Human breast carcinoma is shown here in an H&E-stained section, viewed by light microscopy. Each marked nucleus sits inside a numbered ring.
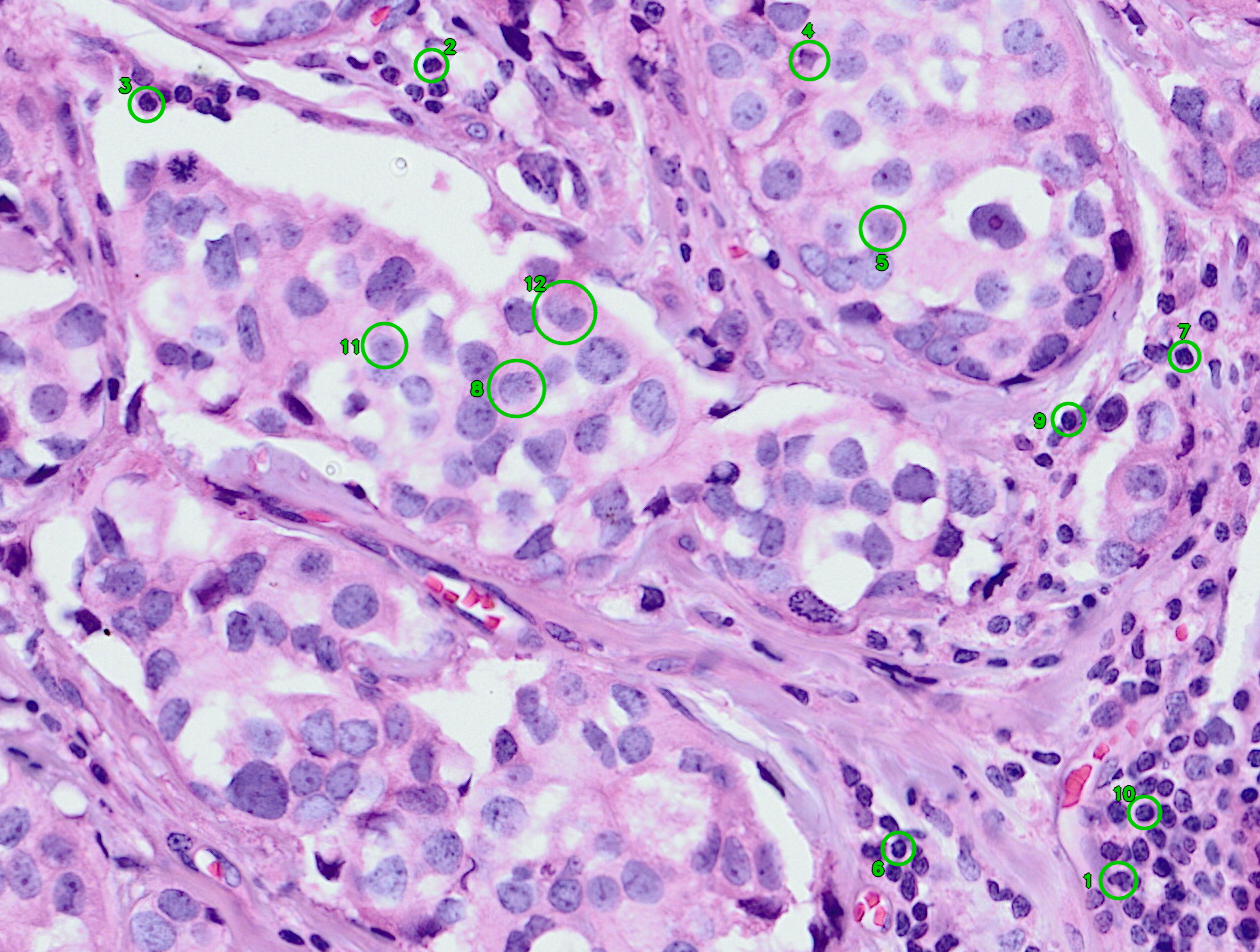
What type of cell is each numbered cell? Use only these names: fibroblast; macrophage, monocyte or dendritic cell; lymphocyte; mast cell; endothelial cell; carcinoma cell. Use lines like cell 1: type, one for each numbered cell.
cell 1: lymphocyte
cell 2: lymphocyte
cell 3: lymphocyte
cell 4: carcinoma cell
cell 5: carcinoma cell
cell 6: lymphocyte
cell 7: lymphocyte
cell 8: carcinoma cell
cell 9: lymphocyte
cell 10: lymphocyte
cell 11: carcinoma cell
cell 12: carcinoma cell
